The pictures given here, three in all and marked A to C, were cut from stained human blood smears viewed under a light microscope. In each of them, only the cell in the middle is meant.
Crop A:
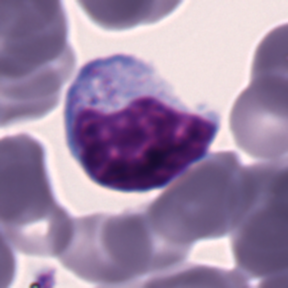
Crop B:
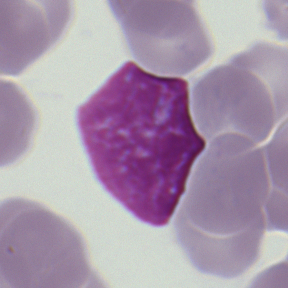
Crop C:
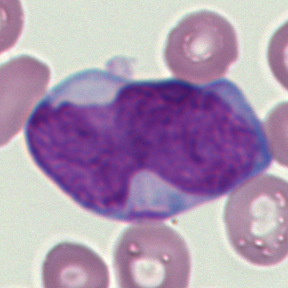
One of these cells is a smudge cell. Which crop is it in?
B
